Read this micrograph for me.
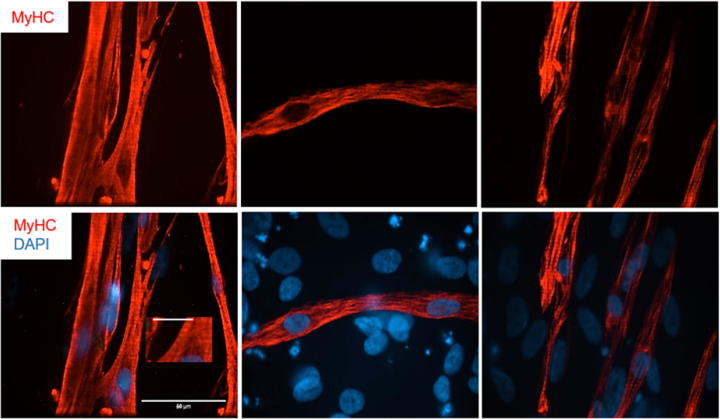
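These are cultured skeletal muscle cells, with long red-stained tubes lying among blue nuclei. Several oval blue nuclei lie in a line within single red tubes, showing they are multinucleated myotubes formed by fusion. Between the tubes, many blue nuclei sit singly with no red around them; these are unfused background cells. In some fields the tubes are few and thin, leaving many such unfused nuclei.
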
